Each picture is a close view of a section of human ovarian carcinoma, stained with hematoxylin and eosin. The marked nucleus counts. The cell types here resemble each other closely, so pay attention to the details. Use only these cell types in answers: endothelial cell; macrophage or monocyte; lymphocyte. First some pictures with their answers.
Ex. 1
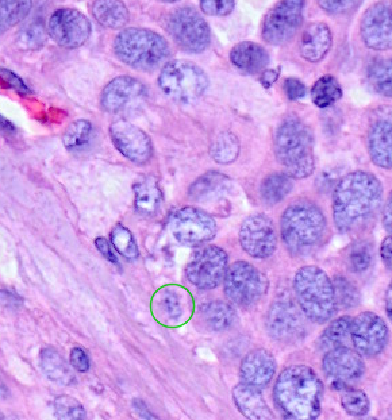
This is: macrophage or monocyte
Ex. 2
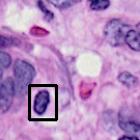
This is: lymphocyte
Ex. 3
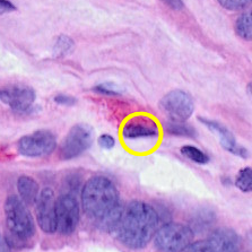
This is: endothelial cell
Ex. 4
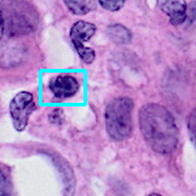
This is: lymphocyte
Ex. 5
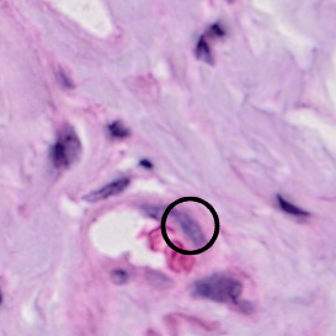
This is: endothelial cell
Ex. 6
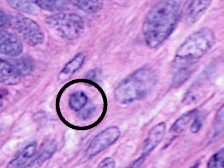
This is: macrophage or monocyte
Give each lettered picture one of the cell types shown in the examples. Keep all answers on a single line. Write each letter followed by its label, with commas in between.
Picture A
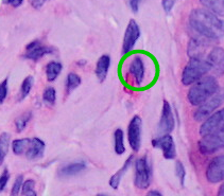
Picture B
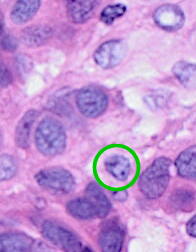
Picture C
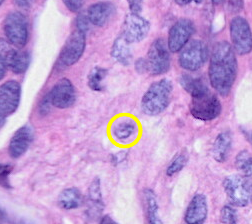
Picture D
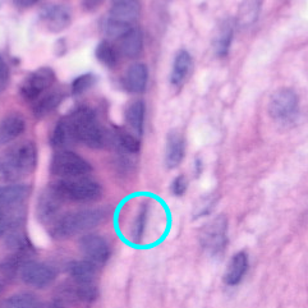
A endothelial cell, B macrophage or monocyte, C macrophage or monocyte, D macrophage or monocyte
